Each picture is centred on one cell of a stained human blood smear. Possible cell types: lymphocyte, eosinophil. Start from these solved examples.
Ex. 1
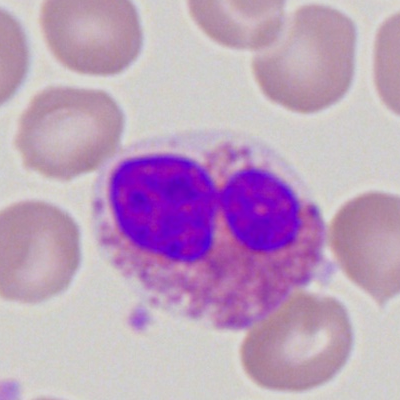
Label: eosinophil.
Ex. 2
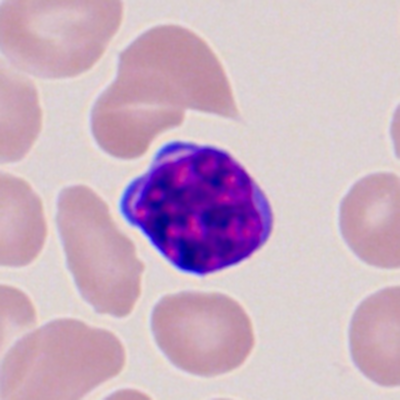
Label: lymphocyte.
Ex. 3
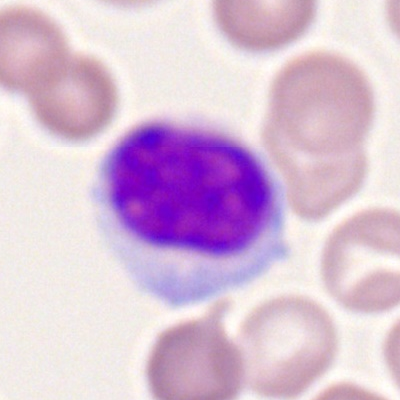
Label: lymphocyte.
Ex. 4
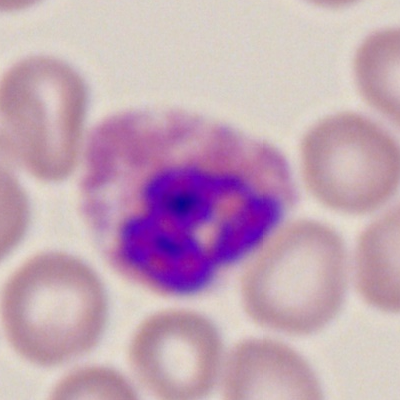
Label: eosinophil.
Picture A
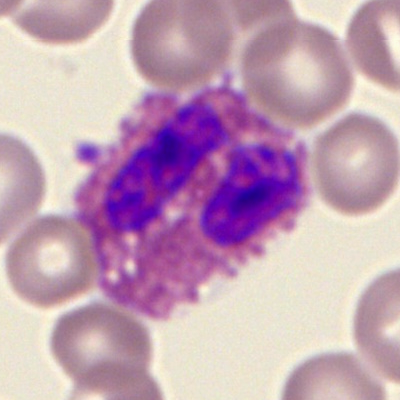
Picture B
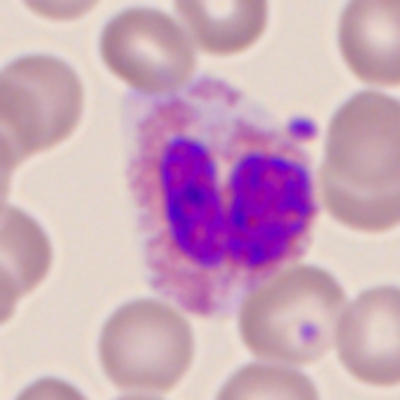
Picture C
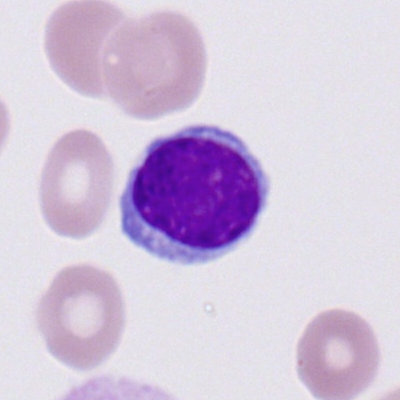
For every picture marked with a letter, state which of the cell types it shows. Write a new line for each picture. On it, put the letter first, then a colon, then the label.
A: eosinophil.
B: eosinophil.
C: lymphocyte.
